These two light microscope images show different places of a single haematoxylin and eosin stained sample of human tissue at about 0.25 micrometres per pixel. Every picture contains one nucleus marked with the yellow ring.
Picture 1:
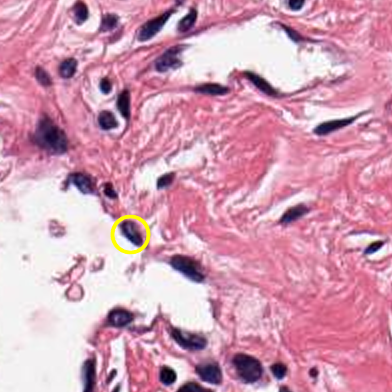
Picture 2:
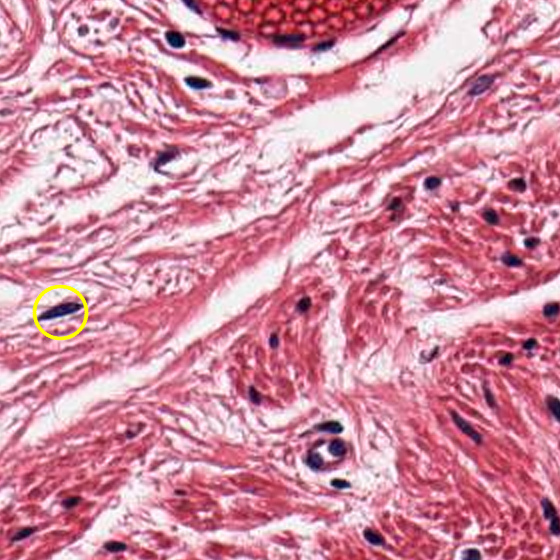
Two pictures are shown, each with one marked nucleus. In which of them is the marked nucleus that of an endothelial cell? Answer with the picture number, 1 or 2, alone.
1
